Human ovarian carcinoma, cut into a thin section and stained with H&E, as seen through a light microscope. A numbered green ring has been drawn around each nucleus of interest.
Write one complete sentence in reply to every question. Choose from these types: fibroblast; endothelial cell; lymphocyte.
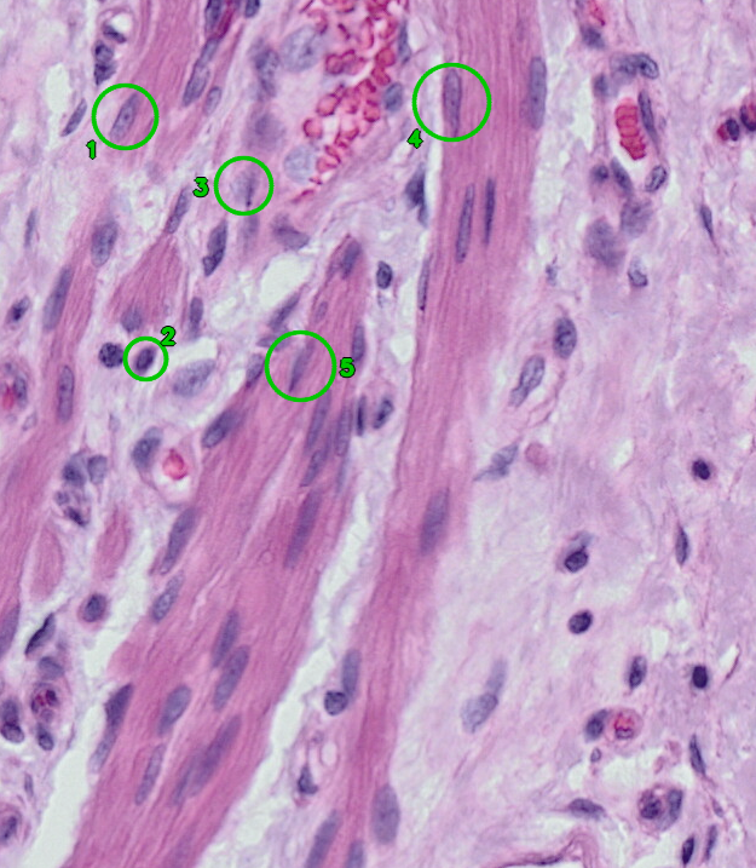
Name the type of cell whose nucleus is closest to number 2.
Closest to number 2 lies the nucleus of a lymphocyte.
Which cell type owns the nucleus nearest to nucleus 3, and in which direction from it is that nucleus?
The nearest nucleus is that of an endothelial cell and lies below nucleus 3.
